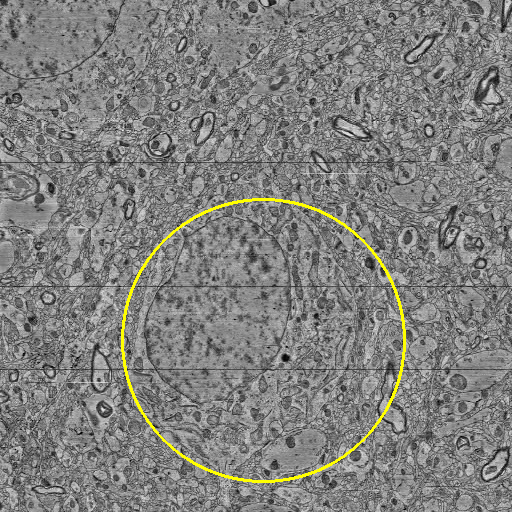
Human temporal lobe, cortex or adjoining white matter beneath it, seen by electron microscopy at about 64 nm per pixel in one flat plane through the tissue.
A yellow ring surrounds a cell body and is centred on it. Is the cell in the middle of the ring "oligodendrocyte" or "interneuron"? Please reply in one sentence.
The ring is centred on an interneuron.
